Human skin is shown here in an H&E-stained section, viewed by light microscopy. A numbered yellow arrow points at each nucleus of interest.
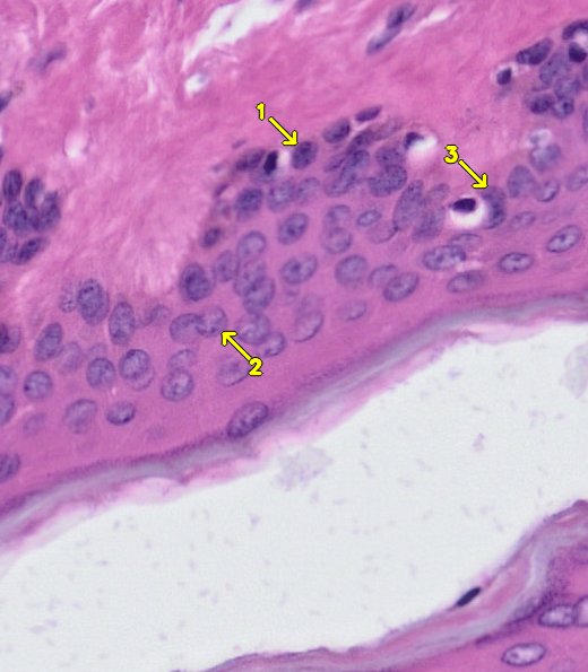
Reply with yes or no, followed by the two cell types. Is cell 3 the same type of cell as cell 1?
Yes, in terms of cell type, cells 3 and 1 are both basal keratinocytes.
